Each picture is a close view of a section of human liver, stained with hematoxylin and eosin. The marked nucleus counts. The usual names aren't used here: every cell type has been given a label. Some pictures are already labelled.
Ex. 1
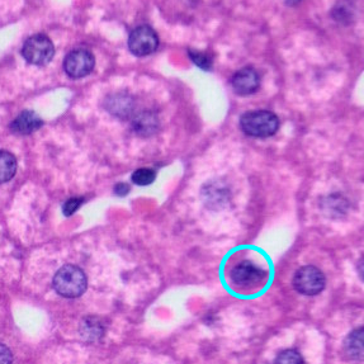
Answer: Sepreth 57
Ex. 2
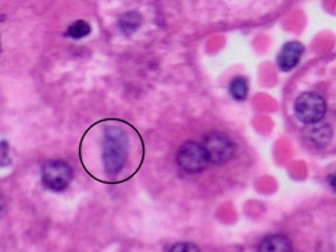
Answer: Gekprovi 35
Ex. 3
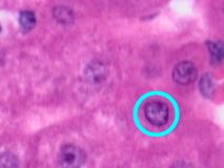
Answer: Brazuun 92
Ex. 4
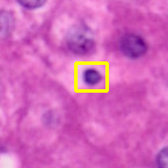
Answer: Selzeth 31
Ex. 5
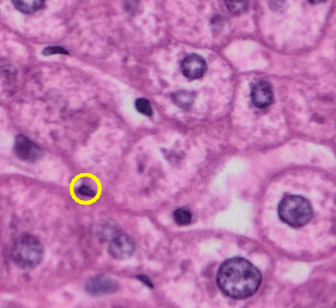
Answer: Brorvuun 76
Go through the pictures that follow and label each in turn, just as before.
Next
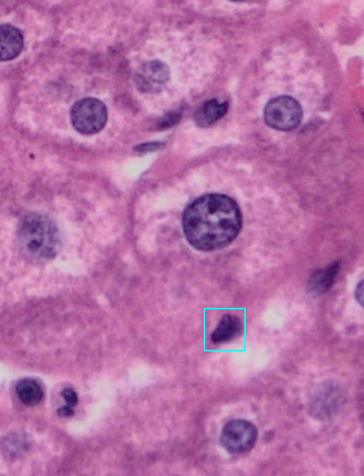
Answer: Brorvuun 76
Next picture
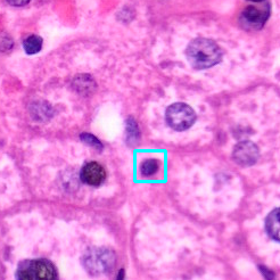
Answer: Selzeth 31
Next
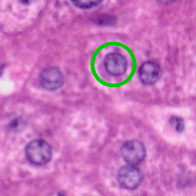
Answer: Brazuun 92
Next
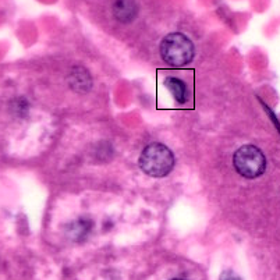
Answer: Brorvuun 76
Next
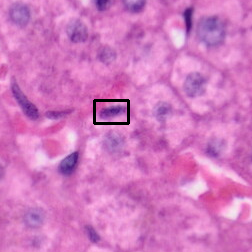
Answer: Sepreth 57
